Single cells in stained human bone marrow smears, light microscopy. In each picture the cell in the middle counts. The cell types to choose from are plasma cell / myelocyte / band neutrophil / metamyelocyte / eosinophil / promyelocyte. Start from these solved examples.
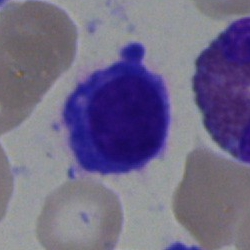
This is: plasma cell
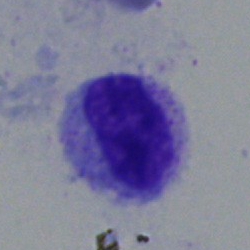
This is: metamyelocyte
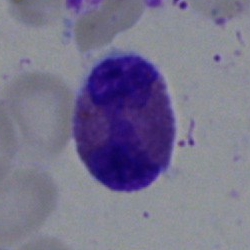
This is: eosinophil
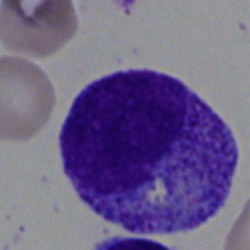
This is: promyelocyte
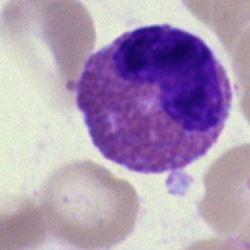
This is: eosinophil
